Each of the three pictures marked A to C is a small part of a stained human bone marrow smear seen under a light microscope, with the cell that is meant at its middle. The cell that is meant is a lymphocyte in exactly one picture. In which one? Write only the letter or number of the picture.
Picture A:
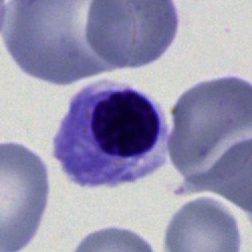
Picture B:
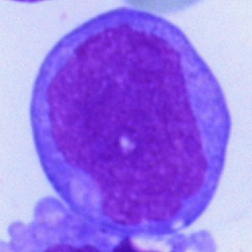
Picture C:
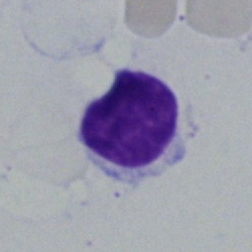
C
